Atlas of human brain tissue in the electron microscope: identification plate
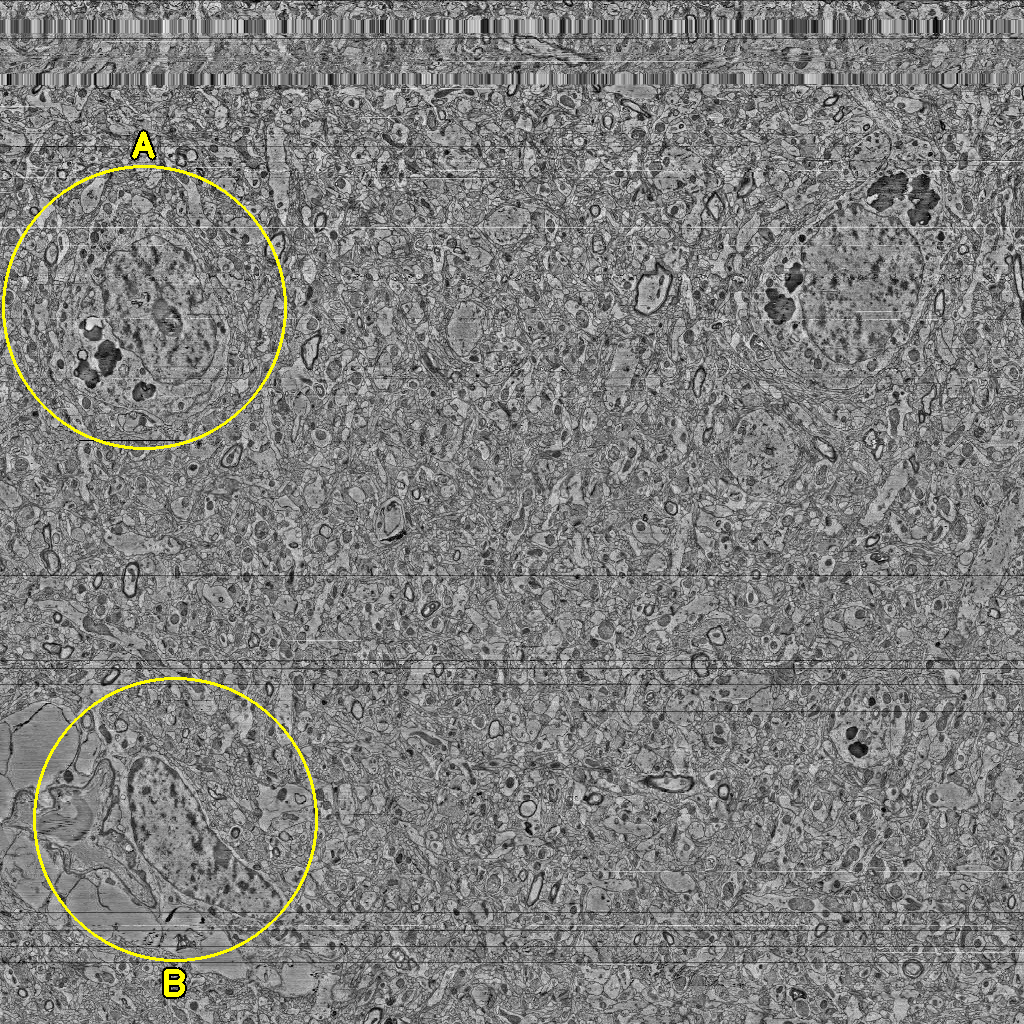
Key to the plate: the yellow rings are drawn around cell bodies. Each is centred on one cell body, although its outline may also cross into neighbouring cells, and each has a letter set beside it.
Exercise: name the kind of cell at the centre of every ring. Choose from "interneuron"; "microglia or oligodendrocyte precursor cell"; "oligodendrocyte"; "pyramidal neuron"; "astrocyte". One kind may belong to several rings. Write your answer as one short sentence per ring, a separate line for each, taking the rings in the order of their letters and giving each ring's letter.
The centre of ring A is occupied by an interneuron.
The centre of ring B is occupied by a microglial cell or oligodendrocyte precursor cell.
